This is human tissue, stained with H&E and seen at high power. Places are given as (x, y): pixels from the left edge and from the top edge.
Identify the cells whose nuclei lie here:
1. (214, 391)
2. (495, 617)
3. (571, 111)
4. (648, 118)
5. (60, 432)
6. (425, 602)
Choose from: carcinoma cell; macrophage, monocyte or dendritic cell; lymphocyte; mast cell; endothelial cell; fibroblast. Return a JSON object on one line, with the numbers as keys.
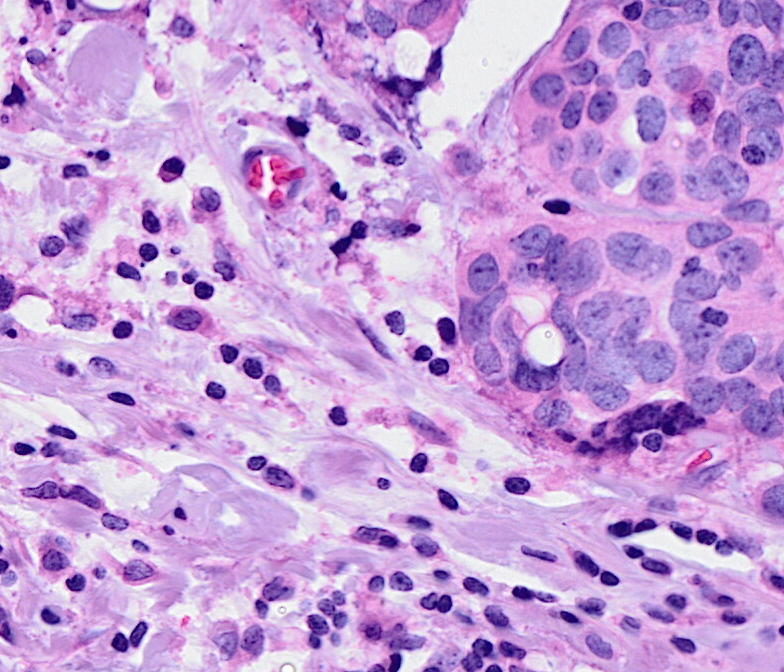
{"1": "lymphocyte", "2": "lymphocyte", "3": "carcinoma cell", "4": "carcinoma cell", "5": "lymphocyte", "6": "lymphocyte"}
